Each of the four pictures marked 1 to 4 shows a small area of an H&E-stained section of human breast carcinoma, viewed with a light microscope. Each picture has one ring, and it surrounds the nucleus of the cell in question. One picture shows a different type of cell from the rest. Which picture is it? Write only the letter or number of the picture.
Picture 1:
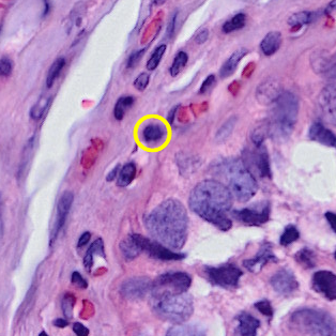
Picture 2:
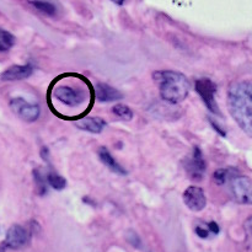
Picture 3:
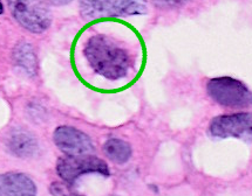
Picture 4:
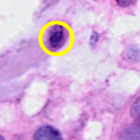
3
